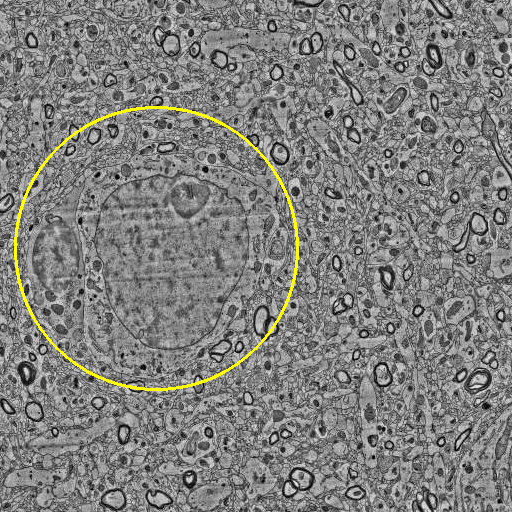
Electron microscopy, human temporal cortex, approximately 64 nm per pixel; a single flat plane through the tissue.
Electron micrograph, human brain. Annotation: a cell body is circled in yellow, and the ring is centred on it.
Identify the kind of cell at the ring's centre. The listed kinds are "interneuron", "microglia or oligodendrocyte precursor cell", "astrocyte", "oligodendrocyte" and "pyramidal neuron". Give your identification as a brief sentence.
The circled cell body is that of a pyramidal neuron.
